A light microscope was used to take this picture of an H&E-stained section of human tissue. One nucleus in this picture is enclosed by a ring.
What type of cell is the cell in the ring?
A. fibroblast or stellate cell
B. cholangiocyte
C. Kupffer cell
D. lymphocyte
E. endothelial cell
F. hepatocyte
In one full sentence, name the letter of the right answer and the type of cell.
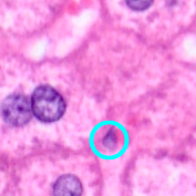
In this case the cell in the ring is an endothelial cell, so option E is correct.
